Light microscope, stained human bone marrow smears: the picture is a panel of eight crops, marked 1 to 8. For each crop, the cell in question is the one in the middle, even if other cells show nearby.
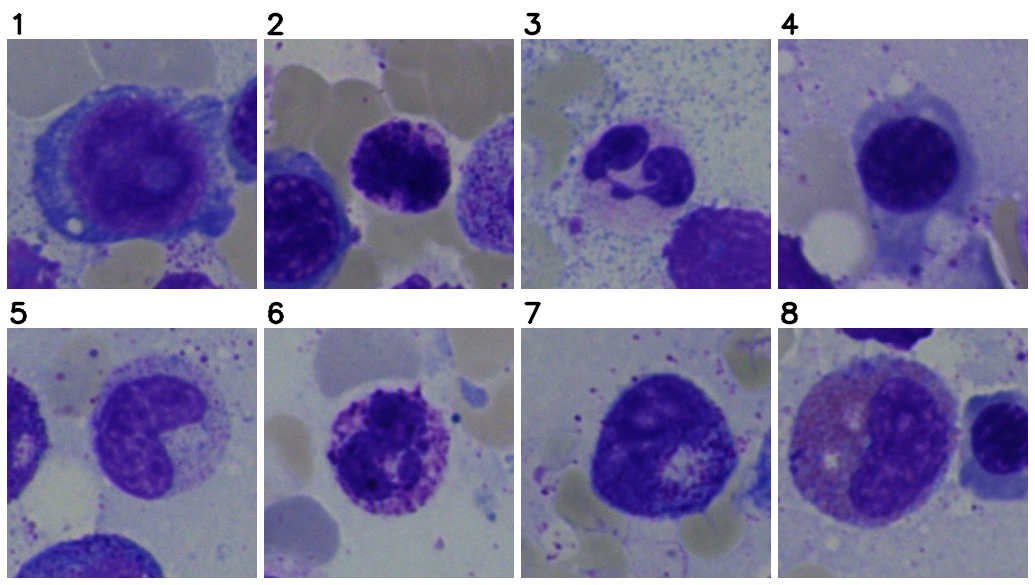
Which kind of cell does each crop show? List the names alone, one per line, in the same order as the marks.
plasma cell
basophil
segmented neutrophil
erythroblast
metamyelocyte
basophil
myelocyte
eosinophil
